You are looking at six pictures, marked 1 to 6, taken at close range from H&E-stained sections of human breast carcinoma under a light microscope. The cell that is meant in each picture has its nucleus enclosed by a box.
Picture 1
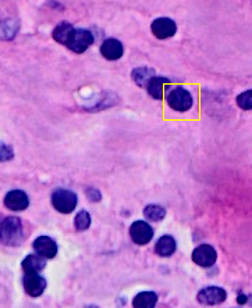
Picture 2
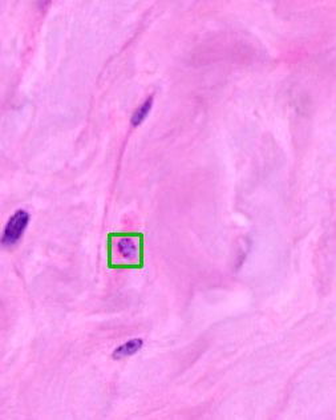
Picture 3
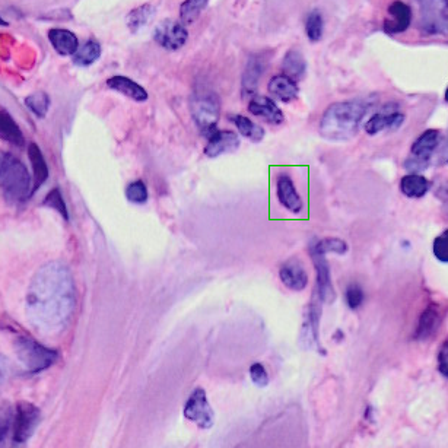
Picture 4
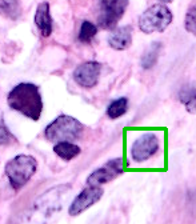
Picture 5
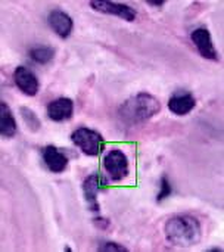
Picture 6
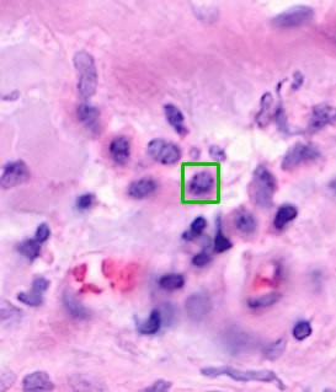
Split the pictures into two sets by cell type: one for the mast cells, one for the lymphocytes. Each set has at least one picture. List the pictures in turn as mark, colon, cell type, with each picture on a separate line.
1: lymphocyte
2: mast cell
3: mast cell
4: lymphocyte
5: lymphocyte
6: mast cell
